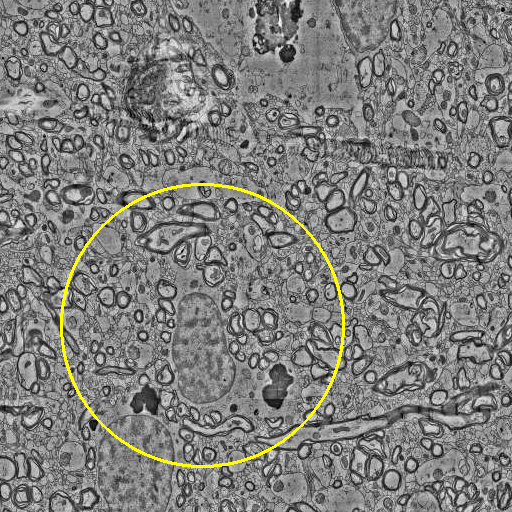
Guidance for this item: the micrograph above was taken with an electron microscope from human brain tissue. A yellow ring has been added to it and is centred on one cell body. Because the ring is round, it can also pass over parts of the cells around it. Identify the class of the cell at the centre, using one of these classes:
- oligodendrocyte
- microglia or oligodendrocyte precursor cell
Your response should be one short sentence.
The ring surrounds the body of an oligodendrocyte.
